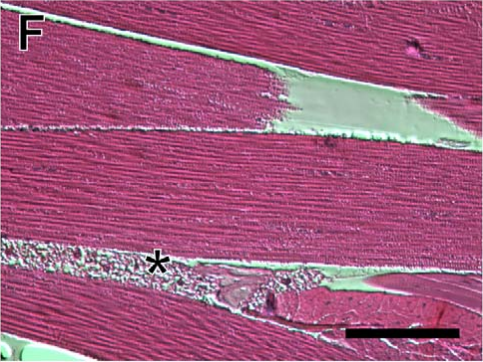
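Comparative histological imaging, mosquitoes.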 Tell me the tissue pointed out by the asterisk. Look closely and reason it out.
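Fat body. The asterisk lies in a narrow strip of loose, vacuolated tissue between striated muscle fibres. The strip is paler and more granular than the fibres on either side.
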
